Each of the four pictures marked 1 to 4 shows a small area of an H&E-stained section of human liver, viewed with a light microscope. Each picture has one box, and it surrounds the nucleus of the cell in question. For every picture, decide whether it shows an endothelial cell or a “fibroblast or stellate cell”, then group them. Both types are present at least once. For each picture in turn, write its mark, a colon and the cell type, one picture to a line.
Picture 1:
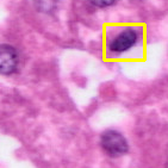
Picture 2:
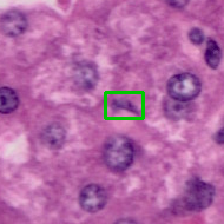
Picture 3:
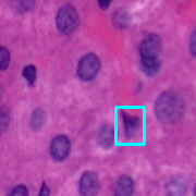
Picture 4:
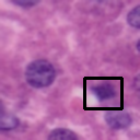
1: fibroblast or stellate cell
2: endothelial cell
3: endothelial cell
4: endothelial cell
